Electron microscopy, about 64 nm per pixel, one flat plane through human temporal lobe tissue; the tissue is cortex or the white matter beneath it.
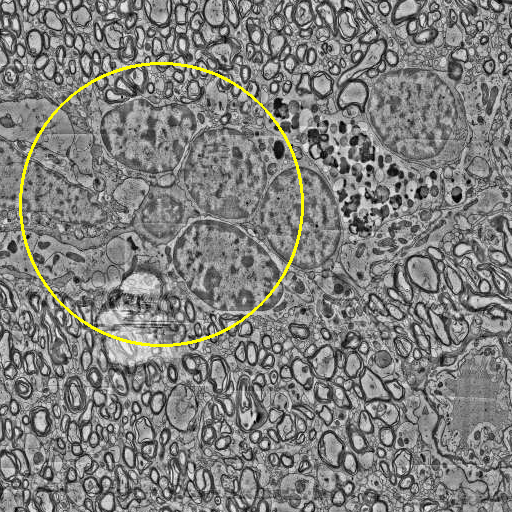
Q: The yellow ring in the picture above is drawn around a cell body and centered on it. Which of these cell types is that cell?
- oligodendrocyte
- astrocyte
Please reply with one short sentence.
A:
The cell body at the ring's center belongs to an oligodendrocyte.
